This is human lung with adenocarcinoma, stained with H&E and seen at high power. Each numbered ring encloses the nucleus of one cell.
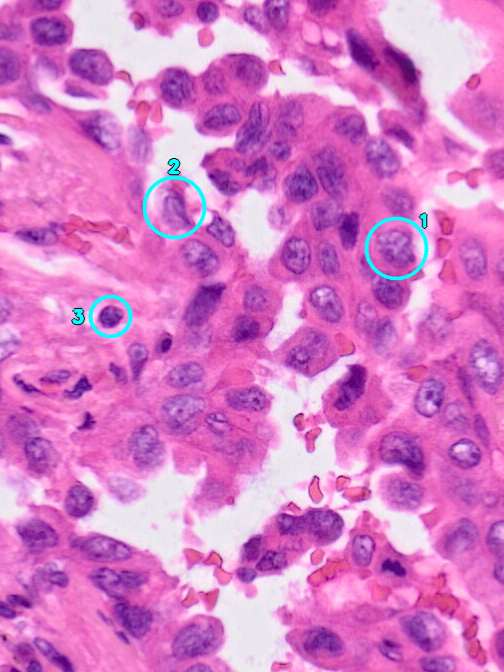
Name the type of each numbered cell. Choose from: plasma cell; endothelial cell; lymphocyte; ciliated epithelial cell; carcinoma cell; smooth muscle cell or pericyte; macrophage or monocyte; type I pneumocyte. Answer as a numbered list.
1. carcinoma cell
2. carcinoma cell
3. lymphocyte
